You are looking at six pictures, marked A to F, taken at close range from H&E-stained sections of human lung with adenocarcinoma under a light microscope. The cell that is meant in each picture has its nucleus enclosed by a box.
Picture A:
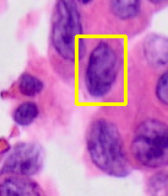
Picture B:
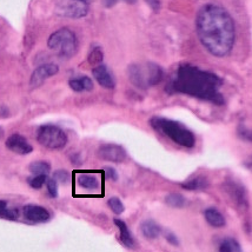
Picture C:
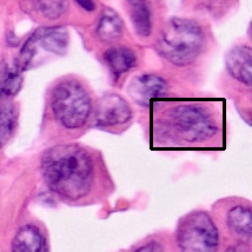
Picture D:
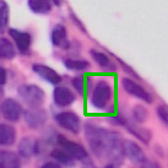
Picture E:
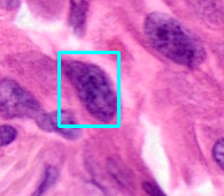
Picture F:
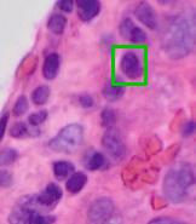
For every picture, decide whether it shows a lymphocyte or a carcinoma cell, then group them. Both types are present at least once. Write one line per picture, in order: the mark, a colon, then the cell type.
A: carcinoma cell
B: lymphocyte
C: carcinoma cell
D: lymphocyte
E: carcinoma cell
F: lymphocyte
